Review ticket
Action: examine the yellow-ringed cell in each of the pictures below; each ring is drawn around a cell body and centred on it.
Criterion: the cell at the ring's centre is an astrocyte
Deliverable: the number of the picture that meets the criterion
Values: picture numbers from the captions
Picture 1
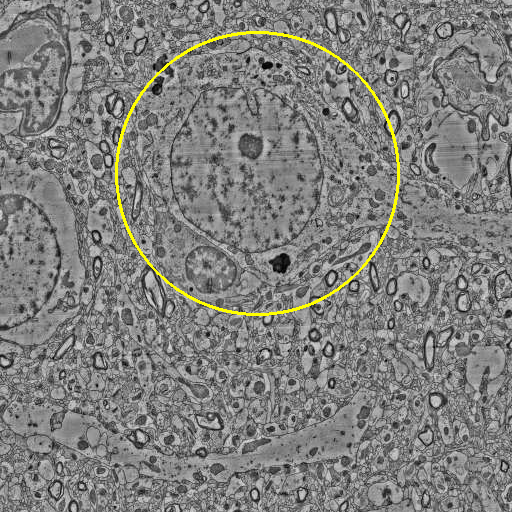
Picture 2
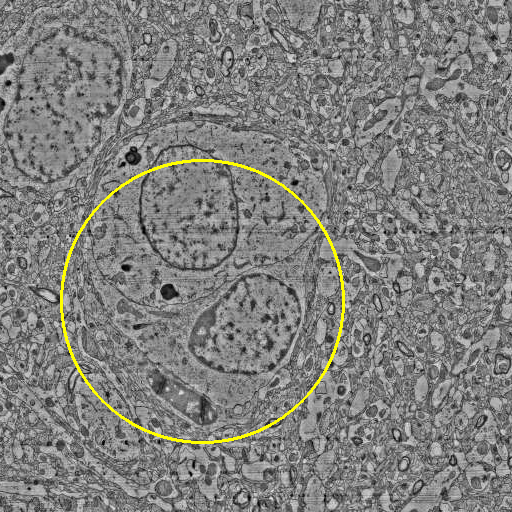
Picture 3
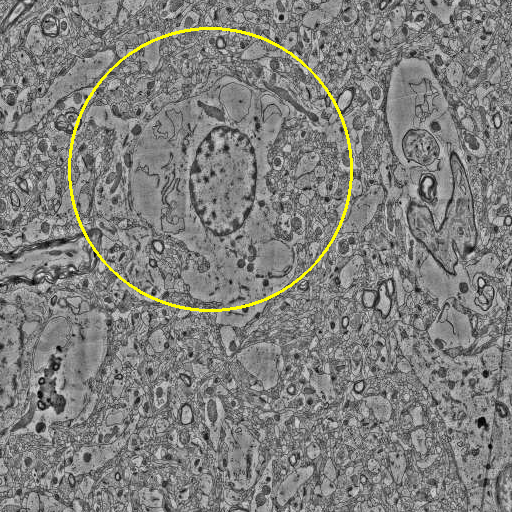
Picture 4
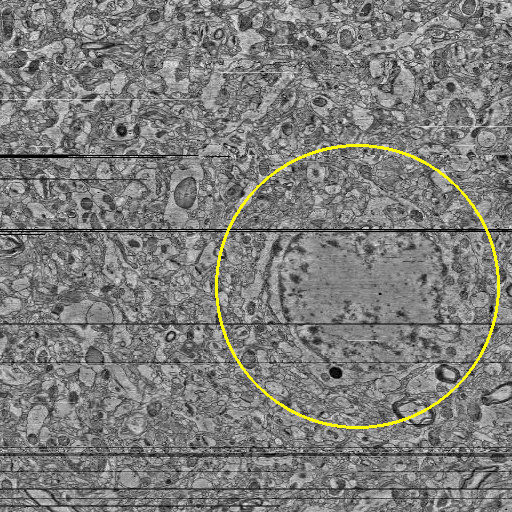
3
